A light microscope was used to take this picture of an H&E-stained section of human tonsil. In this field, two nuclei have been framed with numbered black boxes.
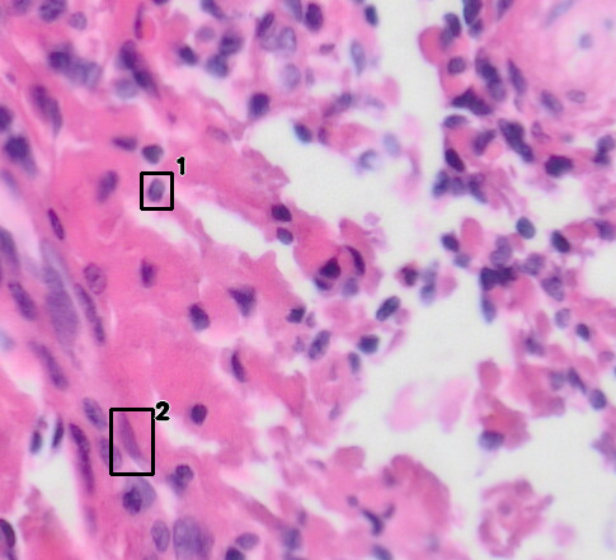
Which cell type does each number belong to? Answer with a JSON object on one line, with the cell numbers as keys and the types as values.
{"1": "mast cell", "2": "endothelial cell"}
